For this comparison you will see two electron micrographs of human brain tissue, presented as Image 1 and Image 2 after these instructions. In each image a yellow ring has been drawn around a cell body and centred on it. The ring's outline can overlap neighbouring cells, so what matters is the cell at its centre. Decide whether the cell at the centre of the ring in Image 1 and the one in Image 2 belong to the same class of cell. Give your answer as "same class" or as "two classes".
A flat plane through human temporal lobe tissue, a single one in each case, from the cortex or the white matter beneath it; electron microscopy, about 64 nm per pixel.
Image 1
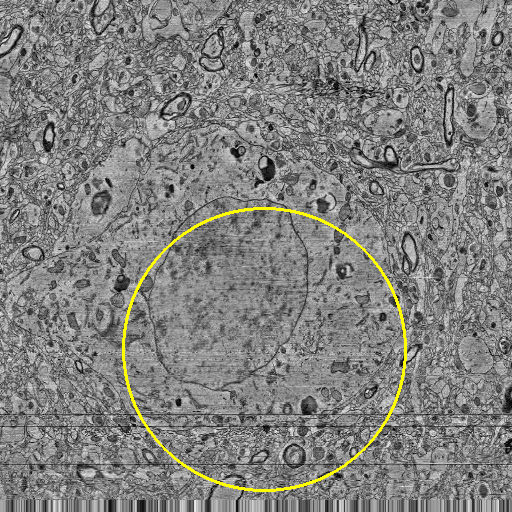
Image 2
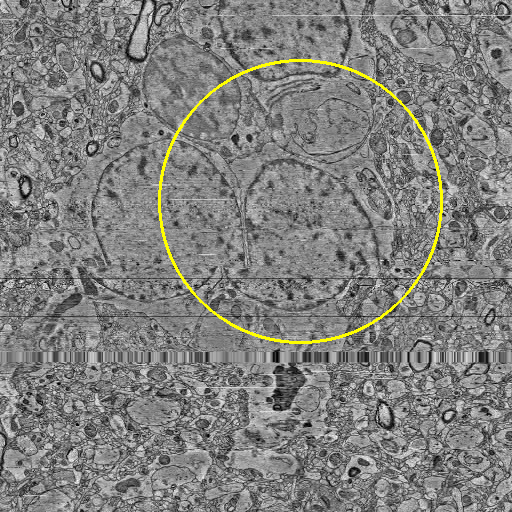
two classes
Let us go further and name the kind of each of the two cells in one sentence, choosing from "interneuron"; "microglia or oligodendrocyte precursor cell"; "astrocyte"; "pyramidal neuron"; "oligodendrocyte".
The ring of the first picture is on a pyramidal neuron, the ring of the second on an astrocyte.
